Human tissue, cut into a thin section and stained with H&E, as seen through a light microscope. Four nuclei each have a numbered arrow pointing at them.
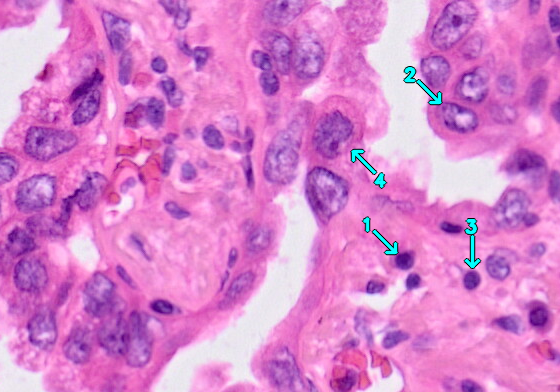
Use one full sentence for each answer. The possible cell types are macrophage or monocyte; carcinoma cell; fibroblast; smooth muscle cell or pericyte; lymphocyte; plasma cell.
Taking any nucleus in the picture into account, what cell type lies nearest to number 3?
The nearest nucleus to number 3 belongs to a fibroblast.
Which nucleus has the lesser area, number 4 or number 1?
It is nucleus 1; nucleus 4 has about 4 times its area.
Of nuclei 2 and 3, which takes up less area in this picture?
With nucleus 2 about 3 times its size, nucleus 3 is the smaller of the two.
